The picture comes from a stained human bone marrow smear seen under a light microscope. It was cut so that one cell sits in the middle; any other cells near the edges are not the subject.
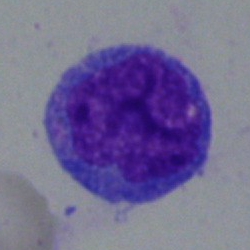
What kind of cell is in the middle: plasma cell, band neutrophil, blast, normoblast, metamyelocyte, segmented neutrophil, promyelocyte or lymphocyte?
blast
